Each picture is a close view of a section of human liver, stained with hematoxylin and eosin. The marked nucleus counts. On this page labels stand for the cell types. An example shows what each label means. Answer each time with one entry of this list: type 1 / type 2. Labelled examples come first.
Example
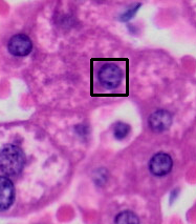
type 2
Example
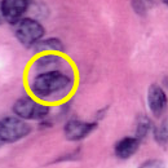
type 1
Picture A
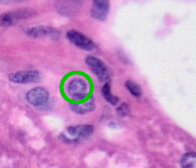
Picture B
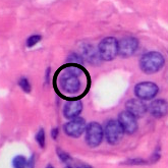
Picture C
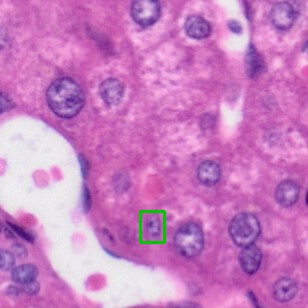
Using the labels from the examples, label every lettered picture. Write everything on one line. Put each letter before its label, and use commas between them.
A type 1, B type 1, C type 1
